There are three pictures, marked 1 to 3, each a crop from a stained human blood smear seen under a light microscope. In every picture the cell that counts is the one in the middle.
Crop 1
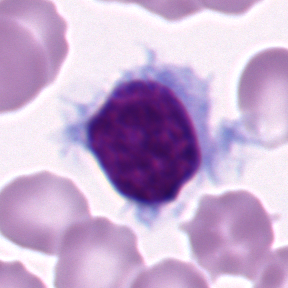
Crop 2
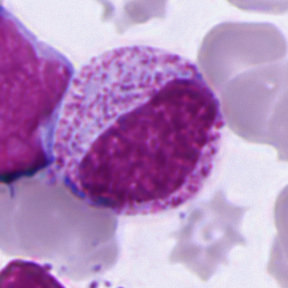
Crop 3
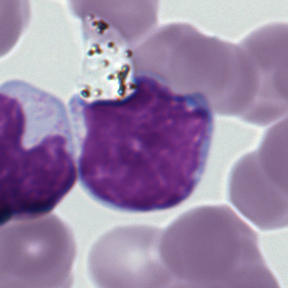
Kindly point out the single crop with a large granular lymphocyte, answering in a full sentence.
Within this set, crop 3 is the one with a large granular lymphocyte at its center.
